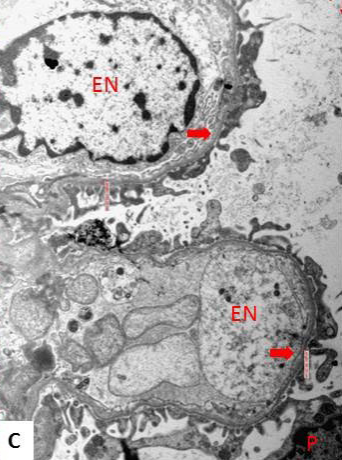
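Glomerular capillary loops are seen in cross-section, each lined by endothelium with large oval nuclei containing dark clumps of chromatin. The glomerular basement membrane beneath the endothelium is a thin, even grey band, with podocyte cytoplasm on its outer side.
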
